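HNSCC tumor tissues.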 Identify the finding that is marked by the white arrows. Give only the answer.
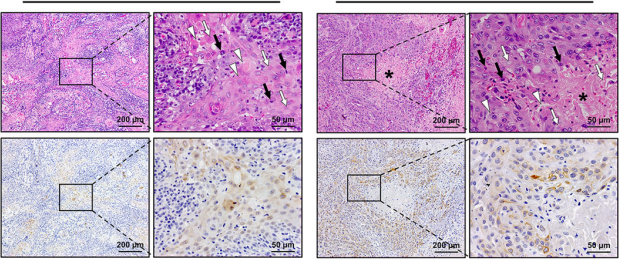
Karyolysis.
